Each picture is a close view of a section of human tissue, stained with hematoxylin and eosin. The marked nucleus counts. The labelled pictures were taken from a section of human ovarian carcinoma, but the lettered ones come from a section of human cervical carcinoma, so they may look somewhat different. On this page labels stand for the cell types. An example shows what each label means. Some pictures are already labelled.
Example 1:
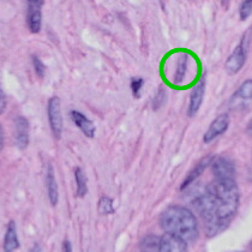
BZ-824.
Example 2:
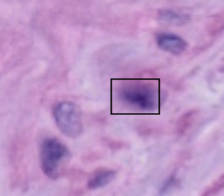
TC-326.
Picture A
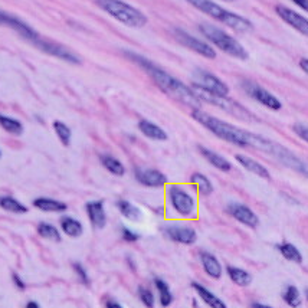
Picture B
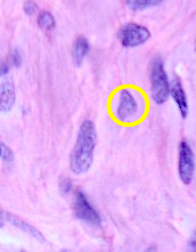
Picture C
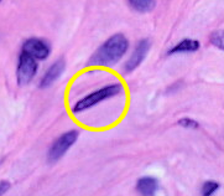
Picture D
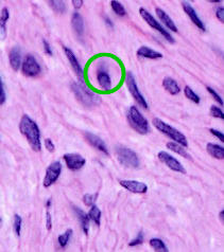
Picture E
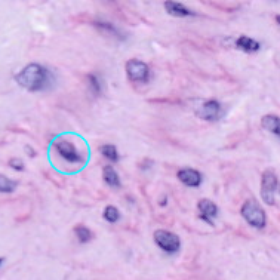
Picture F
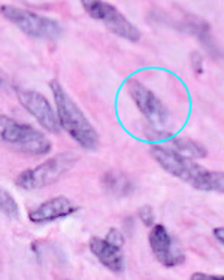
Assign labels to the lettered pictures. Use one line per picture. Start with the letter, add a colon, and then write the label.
A: TC-326.
B: BZ-824.
C: BZ-824.
D: BZ-824.
E: TC-326.
F: TC-326.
